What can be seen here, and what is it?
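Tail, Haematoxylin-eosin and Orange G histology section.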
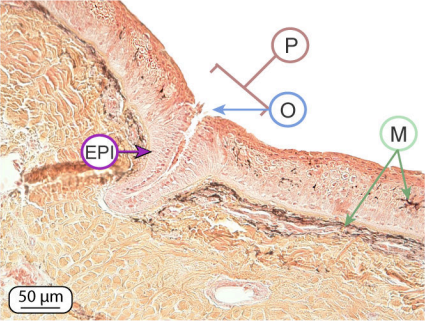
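Section of skin showing a pore opening, where a narrow canal runs through the pink-orange stratified epidermis to the surface; its lumen is lined by epithelium continuous with the surface layer. The dermis is pale orange wavy fibrous connective tissue containing a small vessel.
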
